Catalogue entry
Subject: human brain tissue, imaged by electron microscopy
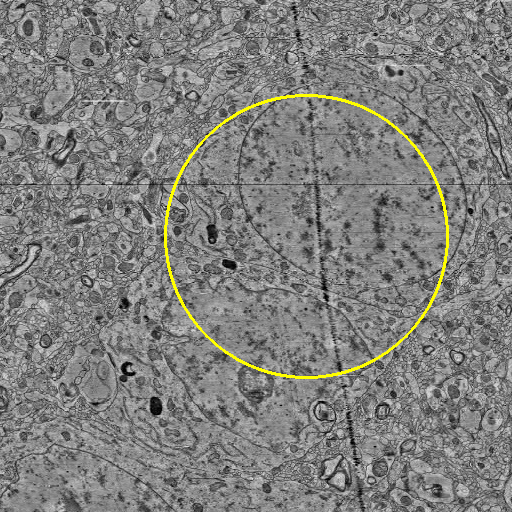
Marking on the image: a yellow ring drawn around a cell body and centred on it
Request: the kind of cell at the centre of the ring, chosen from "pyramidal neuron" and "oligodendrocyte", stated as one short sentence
The ring has a pyramidal neuron at its centre.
